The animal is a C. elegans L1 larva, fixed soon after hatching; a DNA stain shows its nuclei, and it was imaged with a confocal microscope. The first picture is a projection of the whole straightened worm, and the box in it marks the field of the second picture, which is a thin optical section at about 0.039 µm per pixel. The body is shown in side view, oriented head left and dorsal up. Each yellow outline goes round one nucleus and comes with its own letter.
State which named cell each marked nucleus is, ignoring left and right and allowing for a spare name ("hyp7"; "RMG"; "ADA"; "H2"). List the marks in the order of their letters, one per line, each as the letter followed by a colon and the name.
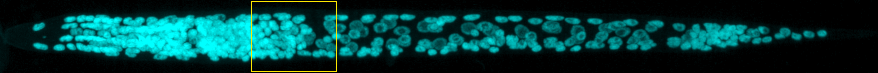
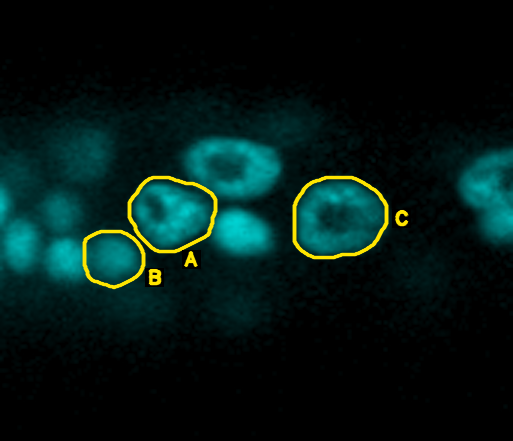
A: H2
B: RMG
C: hyp7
